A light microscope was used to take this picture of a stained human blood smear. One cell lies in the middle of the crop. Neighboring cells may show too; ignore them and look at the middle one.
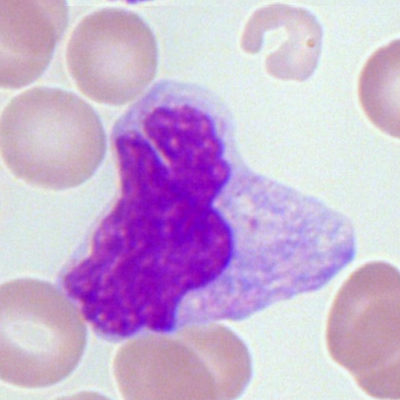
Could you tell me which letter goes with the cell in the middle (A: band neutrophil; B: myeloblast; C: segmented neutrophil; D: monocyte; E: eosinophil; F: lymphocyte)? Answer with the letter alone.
D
